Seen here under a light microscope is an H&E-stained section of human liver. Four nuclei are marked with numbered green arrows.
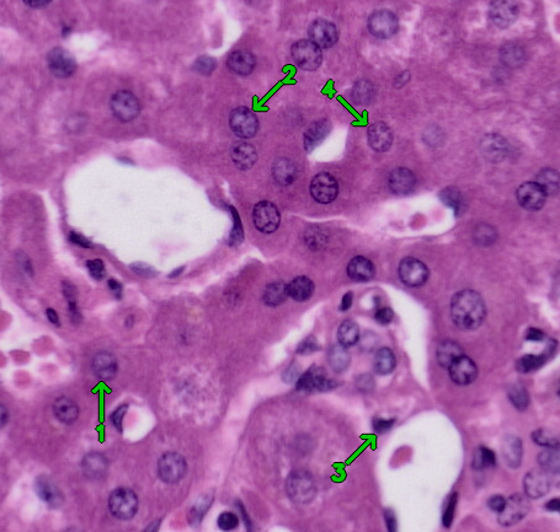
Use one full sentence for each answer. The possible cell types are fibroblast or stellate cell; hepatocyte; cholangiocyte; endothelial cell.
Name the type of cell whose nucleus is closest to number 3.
The cell nearest to number 3 is a cholangiocyte.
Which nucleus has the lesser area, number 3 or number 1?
Nucleus 3 is the smaller one; nucleus 1 covers about 1.5 times its area.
